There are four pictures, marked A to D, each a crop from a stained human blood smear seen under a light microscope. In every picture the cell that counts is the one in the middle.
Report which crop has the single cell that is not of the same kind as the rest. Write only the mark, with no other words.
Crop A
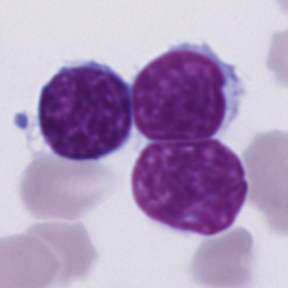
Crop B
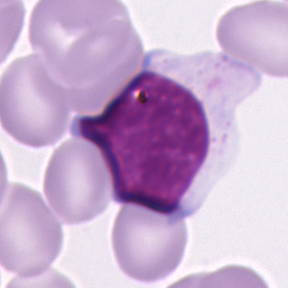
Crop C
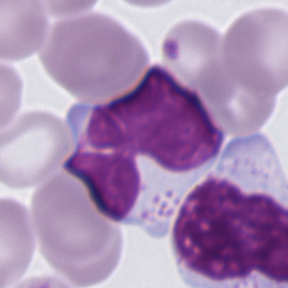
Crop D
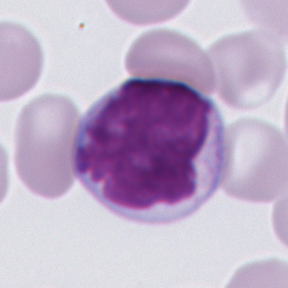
A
